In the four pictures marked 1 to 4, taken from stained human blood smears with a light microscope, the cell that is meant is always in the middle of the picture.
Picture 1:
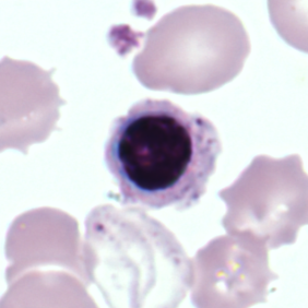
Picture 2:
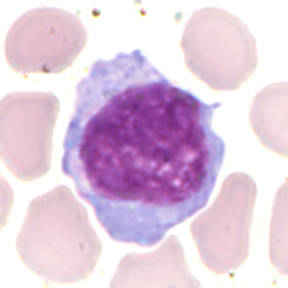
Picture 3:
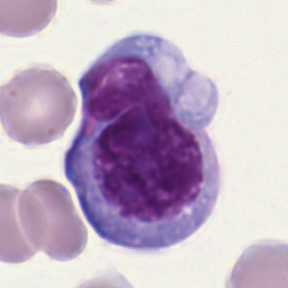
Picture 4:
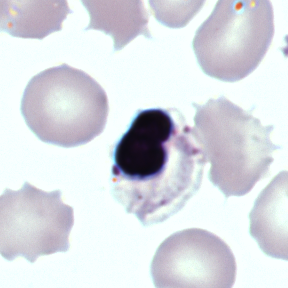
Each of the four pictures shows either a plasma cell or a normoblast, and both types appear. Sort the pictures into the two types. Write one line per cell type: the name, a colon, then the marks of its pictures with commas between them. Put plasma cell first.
plasma cell: 2, 3
normoblast: 1, 4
